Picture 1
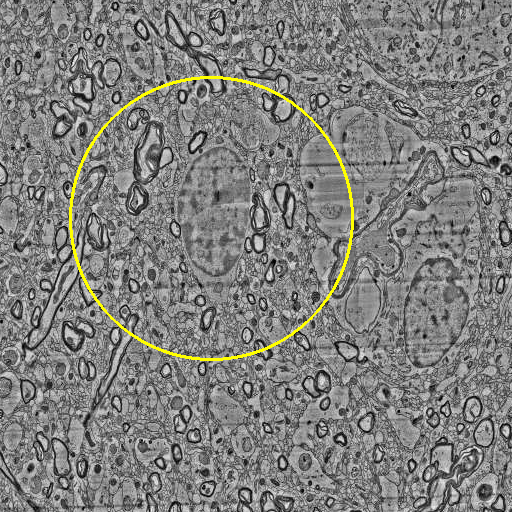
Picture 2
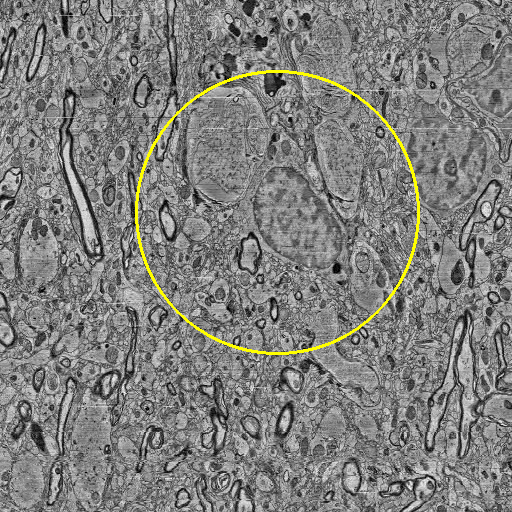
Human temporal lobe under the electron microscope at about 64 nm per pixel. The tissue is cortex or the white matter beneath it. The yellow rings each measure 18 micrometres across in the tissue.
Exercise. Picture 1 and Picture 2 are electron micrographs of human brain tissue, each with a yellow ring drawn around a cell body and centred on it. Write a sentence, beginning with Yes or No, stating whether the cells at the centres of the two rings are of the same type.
Yes, the cells at the centres of both rings are of the same type.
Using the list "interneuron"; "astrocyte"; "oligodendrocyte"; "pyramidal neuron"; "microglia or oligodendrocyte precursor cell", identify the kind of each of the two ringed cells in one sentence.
Each of the two rings is centred on an oligodendrocyte.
